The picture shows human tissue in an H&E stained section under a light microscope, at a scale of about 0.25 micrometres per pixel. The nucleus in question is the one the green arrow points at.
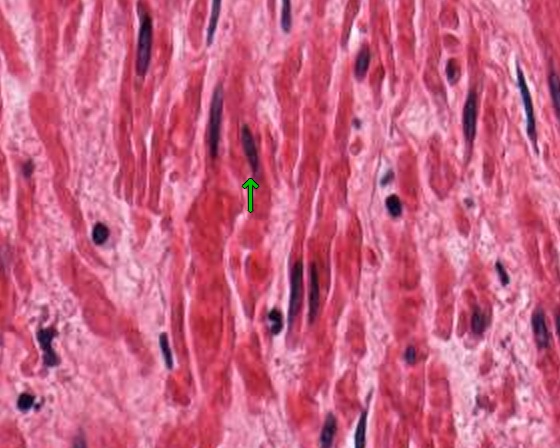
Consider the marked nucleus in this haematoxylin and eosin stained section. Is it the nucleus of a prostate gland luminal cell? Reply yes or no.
no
